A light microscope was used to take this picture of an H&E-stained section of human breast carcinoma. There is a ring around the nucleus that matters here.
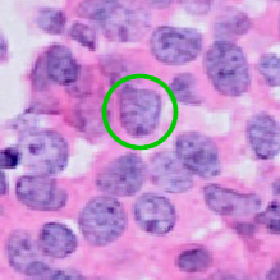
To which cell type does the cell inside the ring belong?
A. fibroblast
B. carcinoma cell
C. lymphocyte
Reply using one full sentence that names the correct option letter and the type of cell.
Among the choices, option B is correct, the cell inside the ring being a carcinoma cell.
